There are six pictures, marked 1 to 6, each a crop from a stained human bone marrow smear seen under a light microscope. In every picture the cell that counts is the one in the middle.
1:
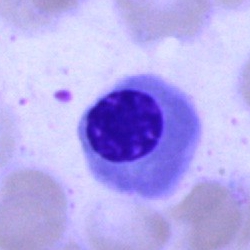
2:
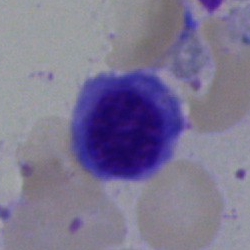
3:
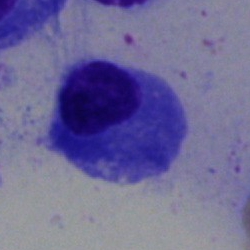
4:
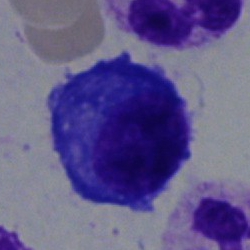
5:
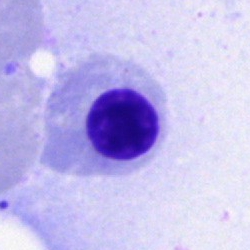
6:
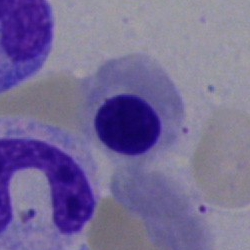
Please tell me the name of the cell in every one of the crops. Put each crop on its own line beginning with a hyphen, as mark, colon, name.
- 1: erythroblast
- 2: erythroblast
- 3: plasma cell
- 4: plasma cell
- 5: erythroblast
- 6: erythroblast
